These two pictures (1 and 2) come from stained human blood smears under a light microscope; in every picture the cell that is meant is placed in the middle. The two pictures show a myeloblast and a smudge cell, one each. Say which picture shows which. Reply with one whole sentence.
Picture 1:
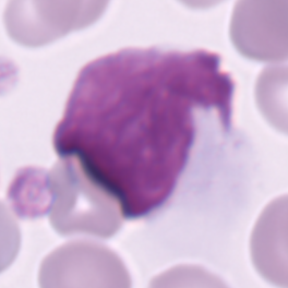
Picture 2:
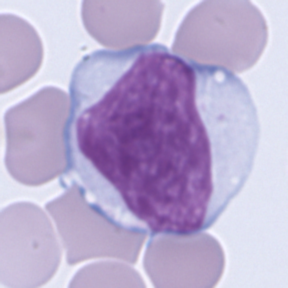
Picture 1 shows a smudge cell and picture 2 shows a myeloblast.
